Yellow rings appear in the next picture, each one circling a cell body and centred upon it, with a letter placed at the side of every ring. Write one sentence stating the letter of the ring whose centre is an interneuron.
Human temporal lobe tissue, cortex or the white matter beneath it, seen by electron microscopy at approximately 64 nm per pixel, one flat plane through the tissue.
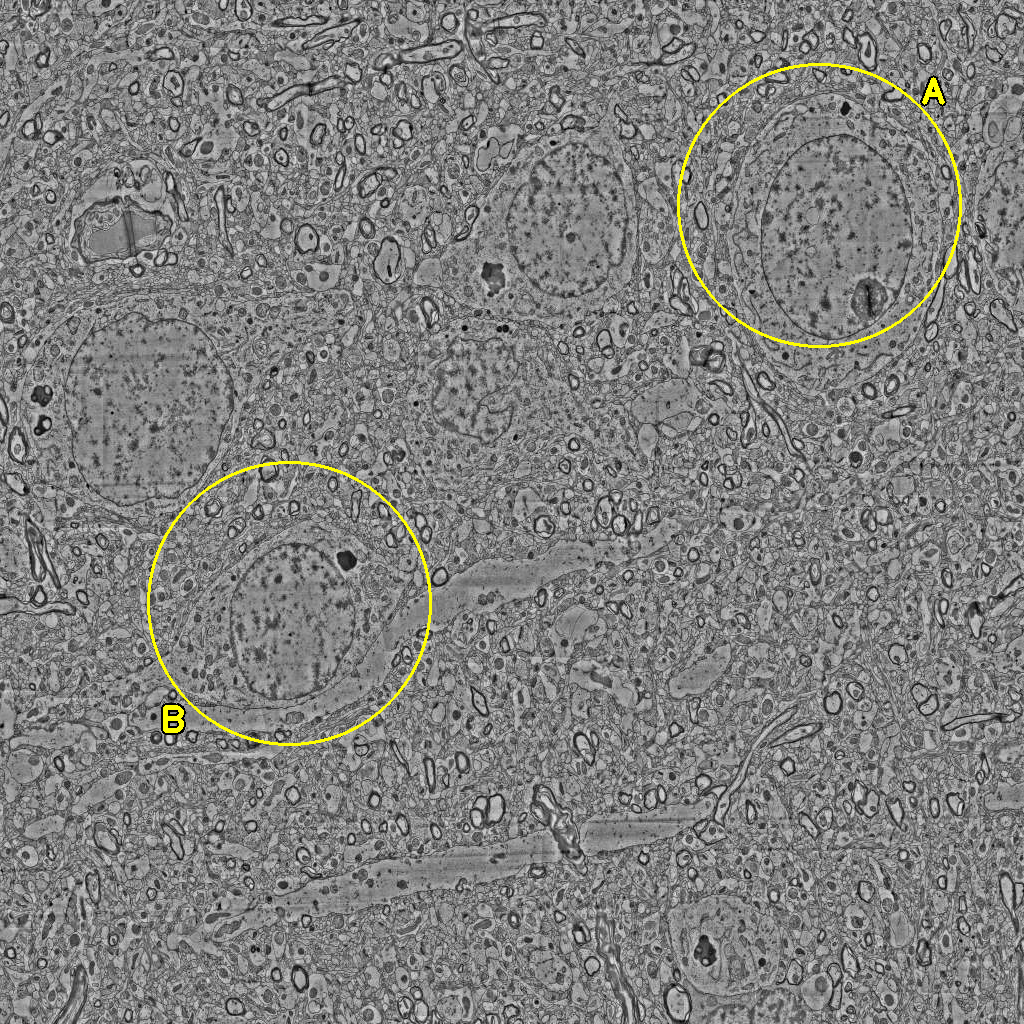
In the picture, the cell asked for lies at the centre of ring B.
